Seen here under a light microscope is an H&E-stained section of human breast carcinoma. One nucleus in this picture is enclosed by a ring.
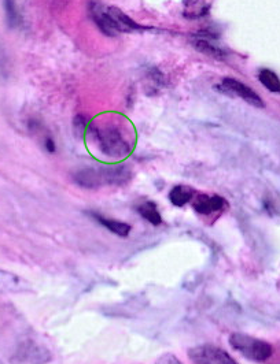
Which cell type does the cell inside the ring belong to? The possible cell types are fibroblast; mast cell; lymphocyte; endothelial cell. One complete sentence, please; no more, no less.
As for its identity, the cell inside the ring is an endothelial cell.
